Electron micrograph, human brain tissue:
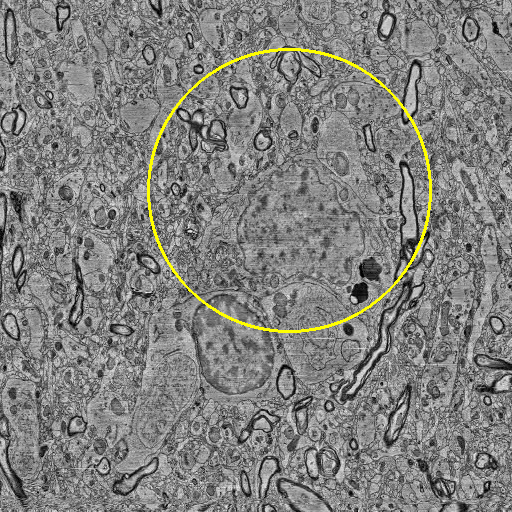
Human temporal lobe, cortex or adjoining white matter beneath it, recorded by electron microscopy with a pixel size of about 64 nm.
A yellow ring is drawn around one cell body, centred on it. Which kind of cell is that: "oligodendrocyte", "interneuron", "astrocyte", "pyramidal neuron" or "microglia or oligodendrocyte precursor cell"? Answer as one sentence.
It is an interneuron at the centre of the ring.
